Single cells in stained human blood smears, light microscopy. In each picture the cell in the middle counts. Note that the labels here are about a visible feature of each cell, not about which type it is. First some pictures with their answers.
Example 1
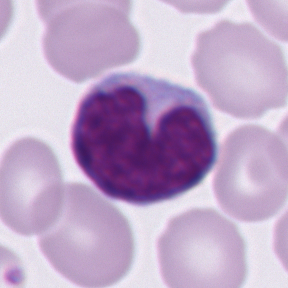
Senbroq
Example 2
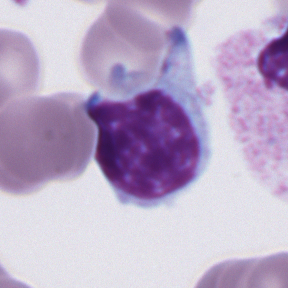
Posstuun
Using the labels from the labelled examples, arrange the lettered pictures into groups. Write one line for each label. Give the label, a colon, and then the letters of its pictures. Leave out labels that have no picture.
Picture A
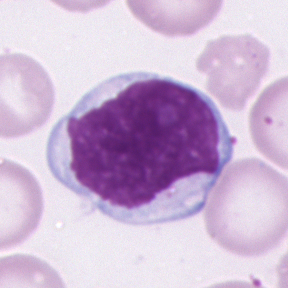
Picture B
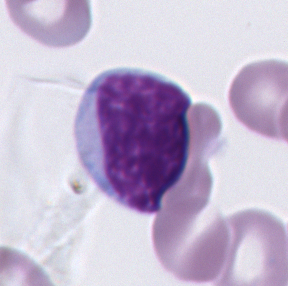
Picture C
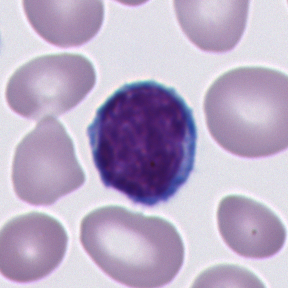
Senbroq: A, B
Posstuun: C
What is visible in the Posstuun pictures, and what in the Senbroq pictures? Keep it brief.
In Posstuun: ragged outline or projections. In Senbroq: smooth outline.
